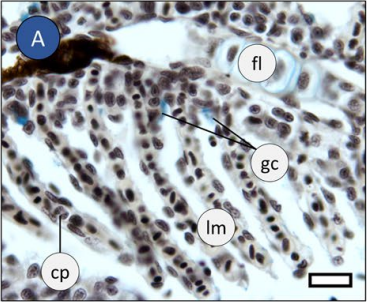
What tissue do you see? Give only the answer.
Gills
